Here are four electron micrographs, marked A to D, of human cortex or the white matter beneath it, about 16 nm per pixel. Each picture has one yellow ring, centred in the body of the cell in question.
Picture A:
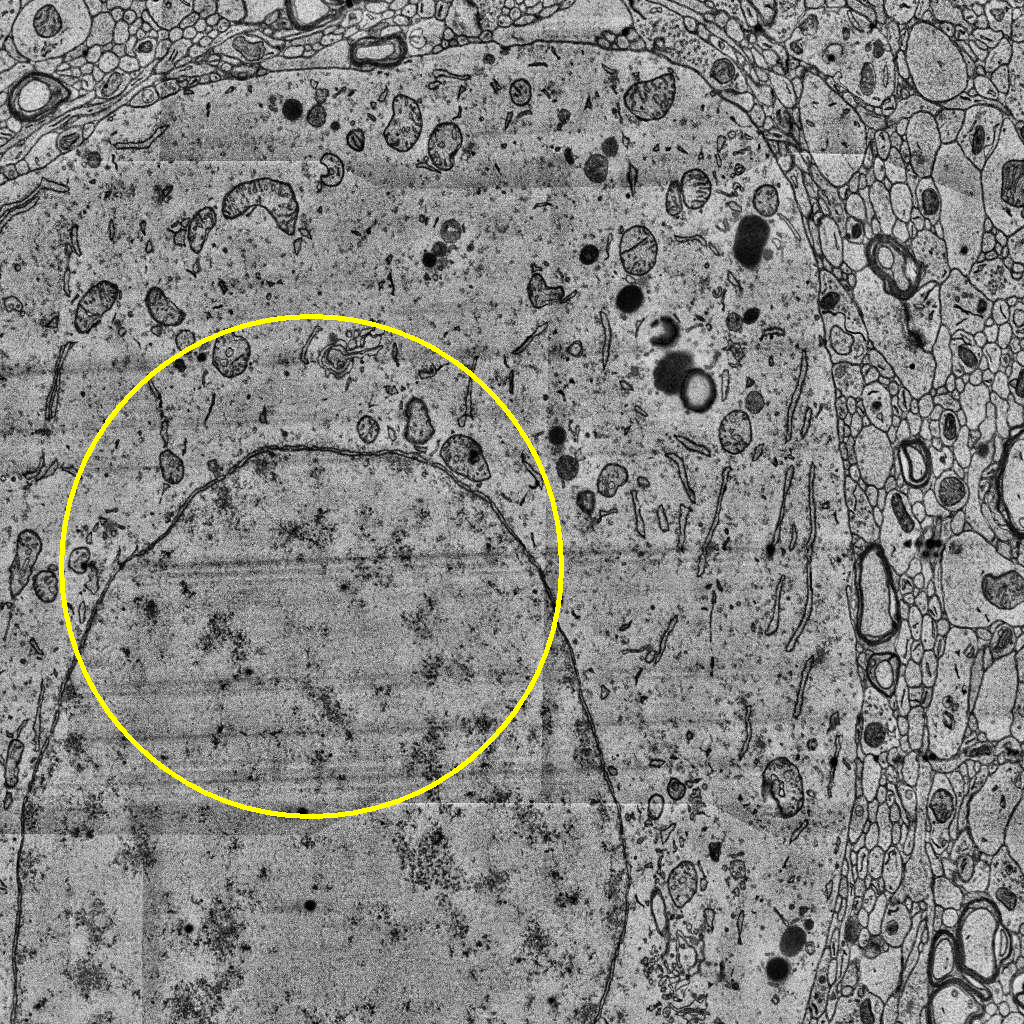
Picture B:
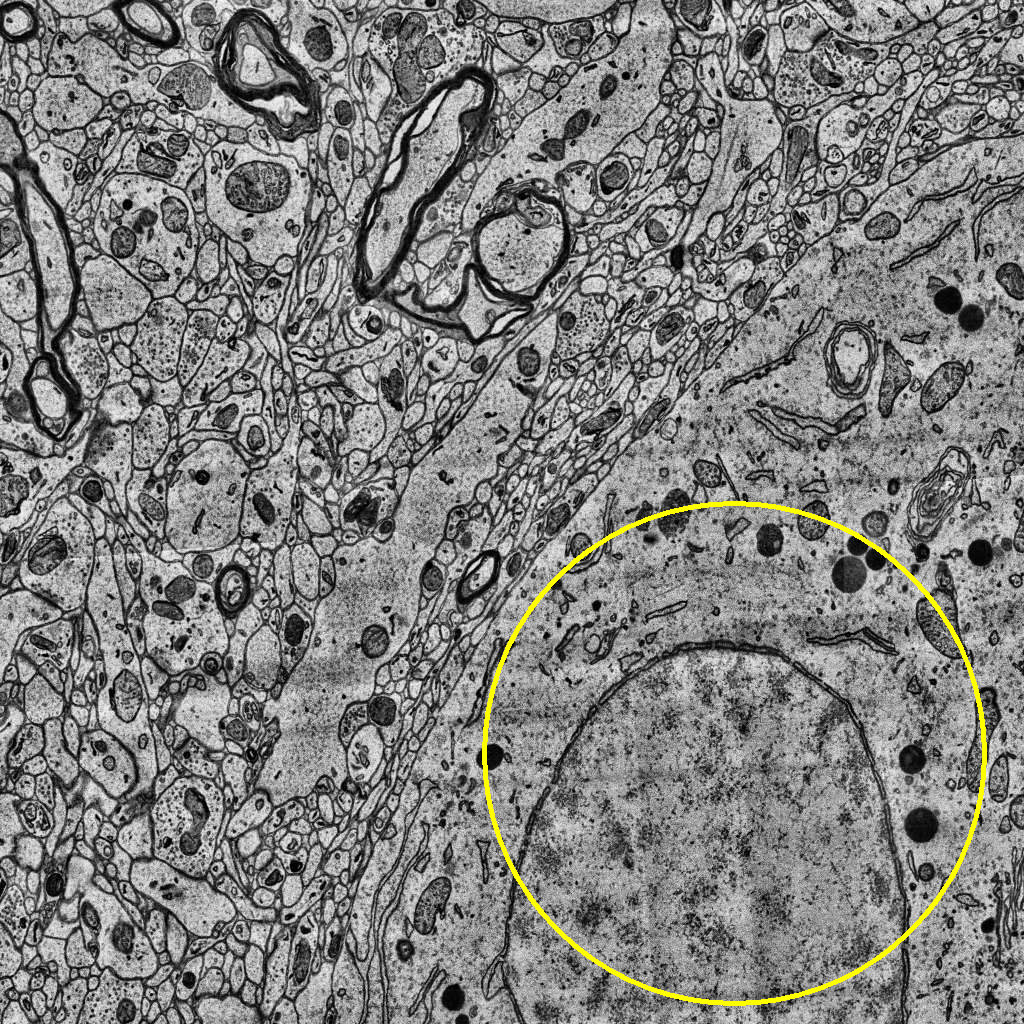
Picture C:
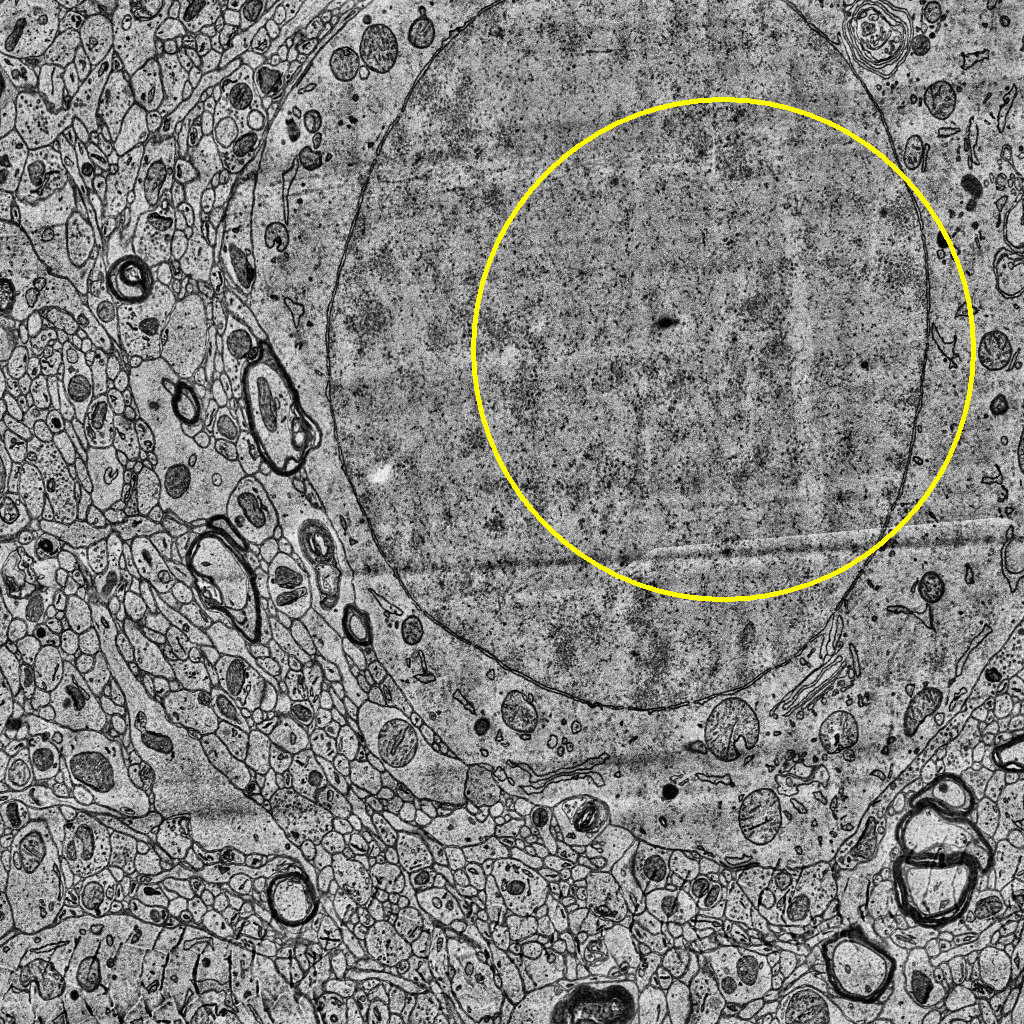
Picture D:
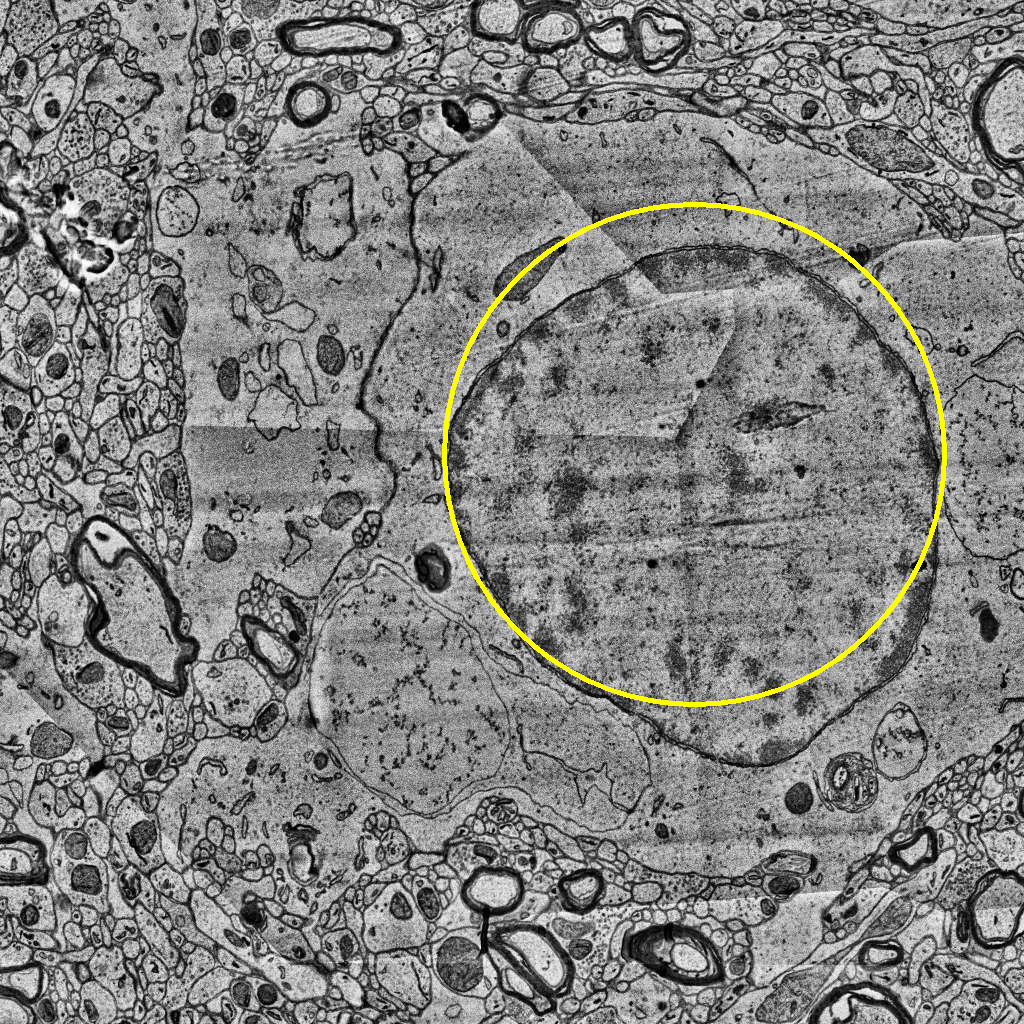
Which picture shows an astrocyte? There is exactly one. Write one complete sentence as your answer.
The astrocyte is the one in picture D.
